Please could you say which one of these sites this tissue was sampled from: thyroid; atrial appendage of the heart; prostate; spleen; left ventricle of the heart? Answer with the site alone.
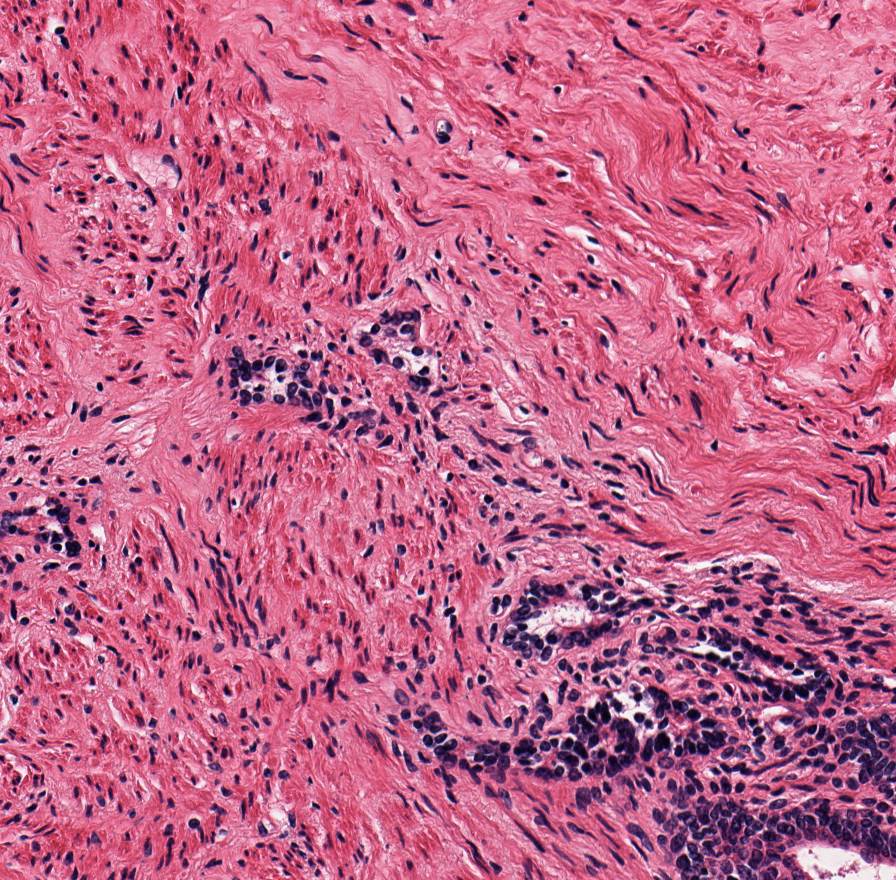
prostate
